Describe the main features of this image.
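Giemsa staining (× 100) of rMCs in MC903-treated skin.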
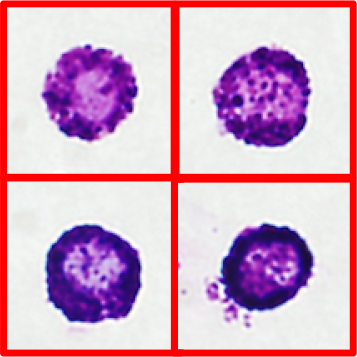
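The granules are coarse and unevenly distributed, leaving paler lilac patches between them in some cells. In one cell small purple granules lie scattered outside its border on the slide.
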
